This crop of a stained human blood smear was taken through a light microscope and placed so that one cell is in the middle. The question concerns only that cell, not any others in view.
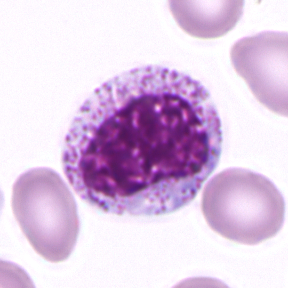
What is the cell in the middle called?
metamyelocyte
